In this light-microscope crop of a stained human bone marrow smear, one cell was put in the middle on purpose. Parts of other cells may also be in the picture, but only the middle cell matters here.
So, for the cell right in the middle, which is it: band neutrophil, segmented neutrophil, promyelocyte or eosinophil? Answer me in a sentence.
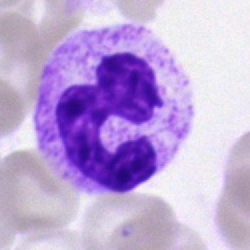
In the centre of this crop there is a segmented neutrophil.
